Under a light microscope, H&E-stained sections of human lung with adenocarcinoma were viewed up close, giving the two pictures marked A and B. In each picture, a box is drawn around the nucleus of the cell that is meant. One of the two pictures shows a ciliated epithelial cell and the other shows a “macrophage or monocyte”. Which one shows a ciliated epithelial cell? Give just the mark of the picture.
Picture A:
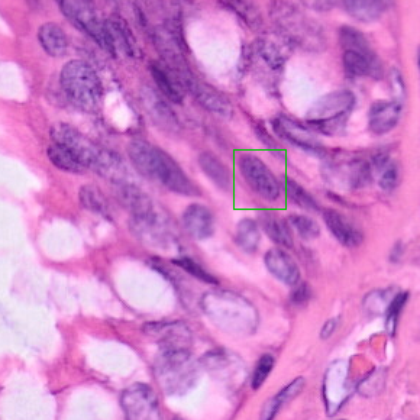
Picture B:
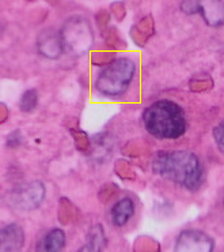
A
